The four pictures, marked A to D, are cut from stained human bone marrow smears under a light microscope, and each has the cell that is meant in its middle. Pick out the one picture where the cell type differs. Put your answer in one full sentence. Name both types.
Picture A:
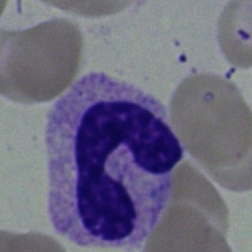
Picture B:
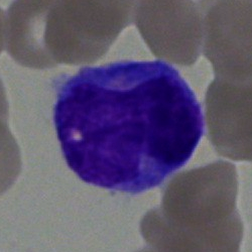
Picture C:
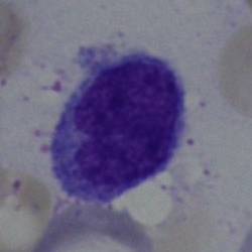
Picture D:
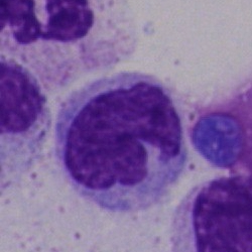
The others show monocytes, but picture A shows a band neutrophil.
